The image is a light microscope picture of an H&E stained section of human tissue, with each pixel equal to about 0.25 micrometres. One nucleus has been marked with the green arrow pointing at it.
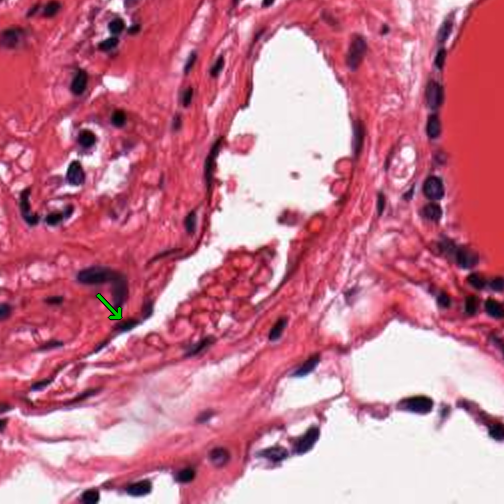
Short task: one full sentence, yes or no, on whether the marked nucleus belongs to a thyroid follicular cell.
No, the marked nucleus does not form part of a thyroid follicular cell, being part of a supporting cell.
